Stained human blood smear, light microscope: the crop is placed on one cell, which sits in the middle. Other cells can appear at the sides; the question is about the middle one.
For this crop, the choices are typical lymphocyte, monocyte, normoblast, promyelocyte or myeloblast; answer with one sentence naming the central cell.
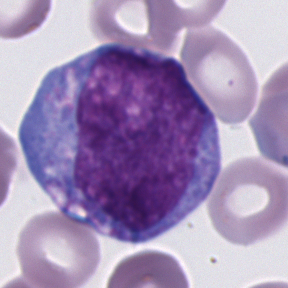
This crop's central cell is a promyelocyte.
